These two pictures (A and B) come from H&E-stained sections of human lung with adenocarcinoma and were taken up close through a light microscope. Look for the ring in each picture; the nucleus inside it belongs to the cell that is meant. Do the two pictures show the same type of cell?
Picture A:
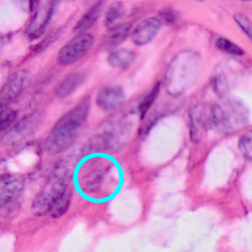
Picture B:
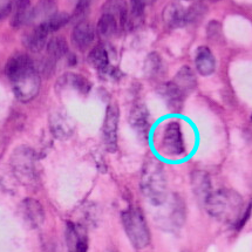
yes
